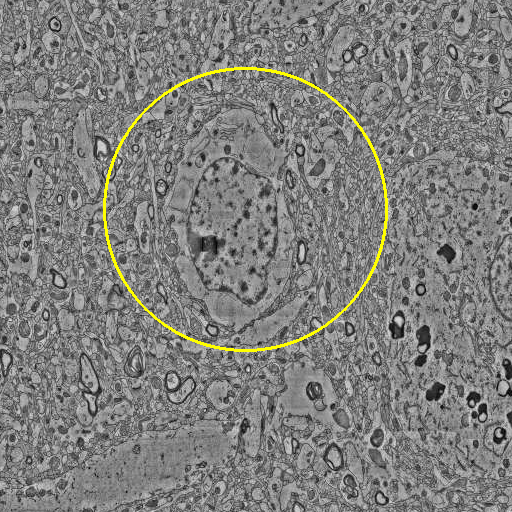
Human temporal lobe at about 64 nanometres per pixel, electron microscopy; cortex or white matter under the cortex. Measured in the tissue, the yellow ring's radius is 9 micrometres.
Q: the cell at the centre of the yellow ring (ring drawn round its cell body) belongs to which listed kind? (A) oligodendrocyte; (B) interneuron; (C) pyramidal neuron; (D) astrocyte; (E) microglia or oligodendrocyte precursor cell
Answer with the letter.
D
